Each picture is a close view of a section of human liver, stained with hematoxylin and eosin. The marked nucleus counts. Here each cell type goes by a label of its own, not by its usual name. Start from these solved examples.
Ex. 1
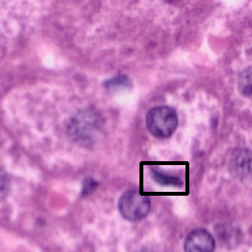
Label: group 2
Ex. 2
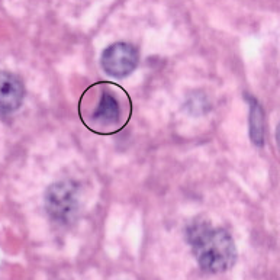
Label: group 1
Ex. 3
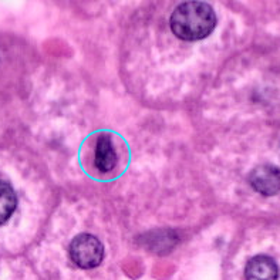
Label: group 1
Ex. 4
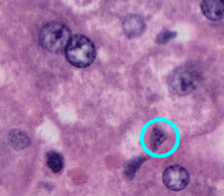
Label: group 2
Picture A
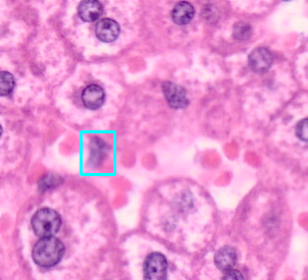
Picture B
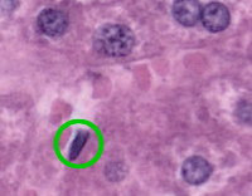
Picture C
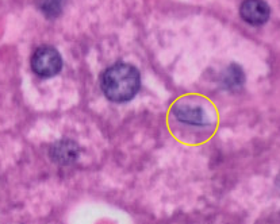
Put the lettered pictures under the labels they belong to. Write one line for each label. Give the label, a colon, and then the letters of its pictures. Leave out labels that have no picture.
group 2: A, B, C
